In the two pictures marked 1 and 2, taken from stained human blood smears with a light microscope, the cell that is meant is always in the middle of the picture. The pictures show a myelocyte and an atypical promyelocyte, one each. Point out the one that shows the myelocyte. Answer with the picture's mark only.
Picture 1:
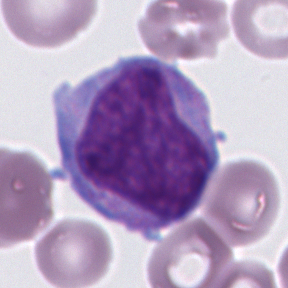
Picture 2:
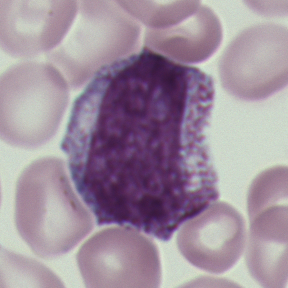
2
